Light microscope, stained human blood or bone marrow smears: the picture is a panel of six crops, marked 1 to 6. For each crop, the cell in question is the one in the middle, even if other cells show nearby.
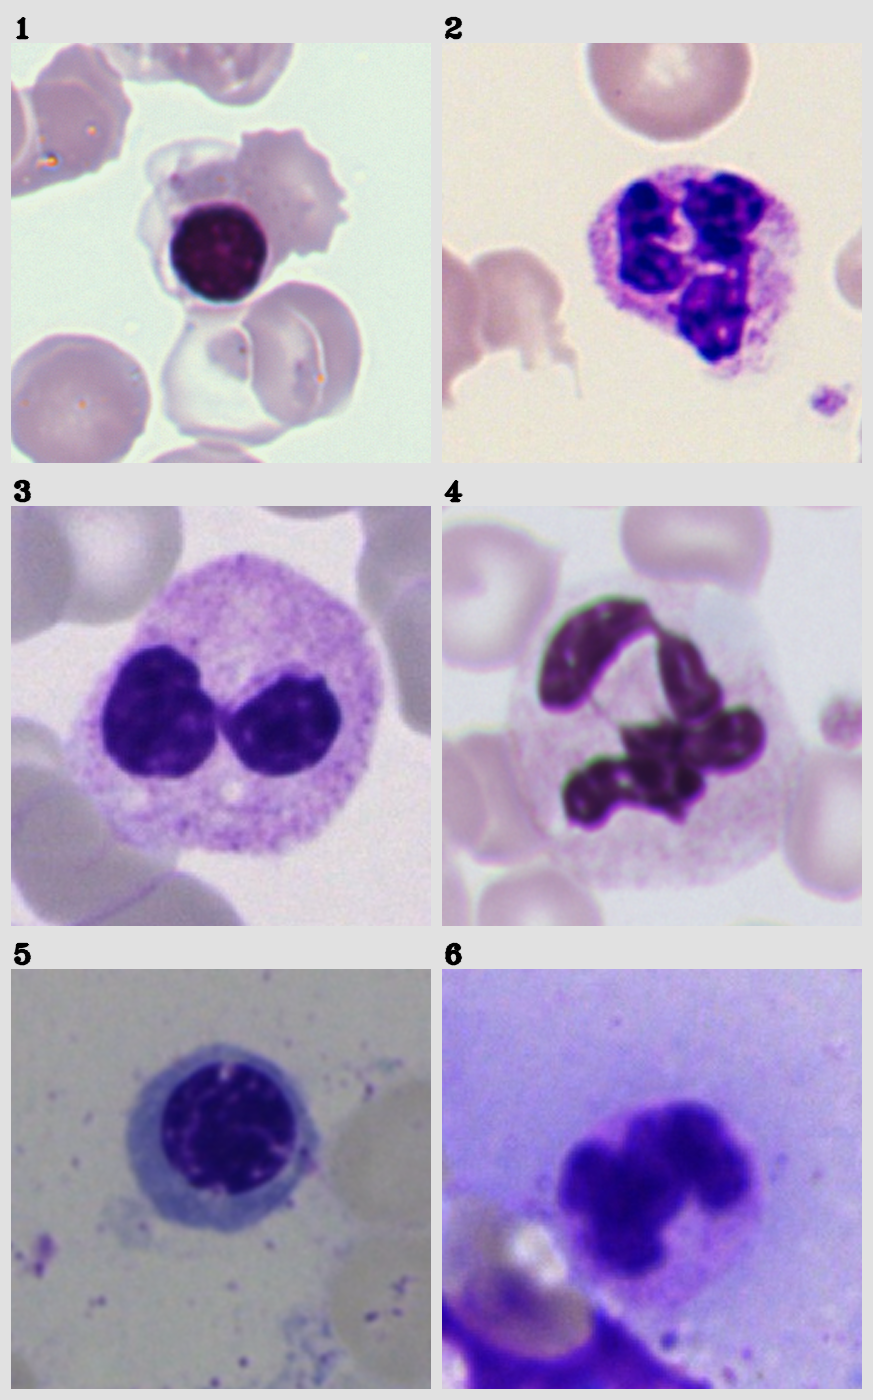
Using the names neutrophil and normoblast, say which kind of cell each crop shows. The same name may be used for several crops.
1: normoblast
2: neutrophil
3: neutrophil
4: neutrophil
5: normoblast
6: neutrophil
